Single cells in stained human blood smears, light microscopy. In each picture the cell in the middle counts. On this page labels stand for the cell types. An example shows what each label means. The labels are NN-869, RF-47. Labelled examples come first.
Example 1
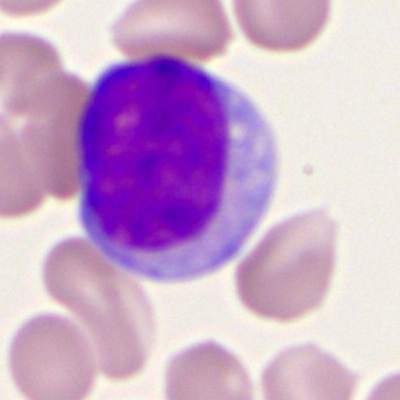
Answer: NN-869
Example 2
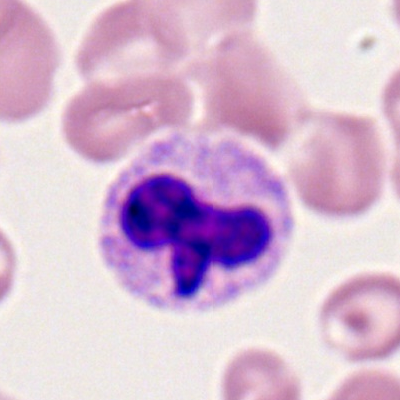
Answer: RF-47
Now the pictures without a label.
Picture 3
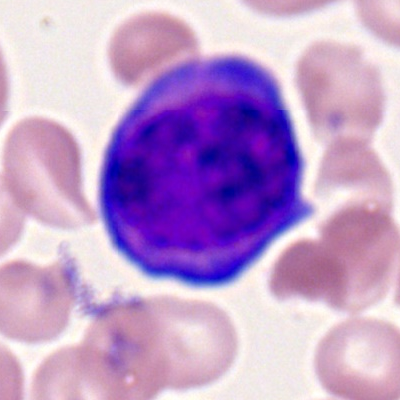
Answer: NN-869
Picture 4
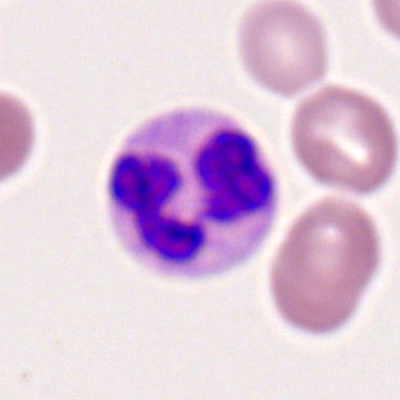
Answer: RF-47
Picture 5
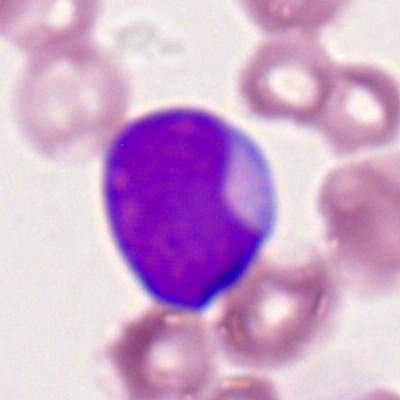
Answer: NN-869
